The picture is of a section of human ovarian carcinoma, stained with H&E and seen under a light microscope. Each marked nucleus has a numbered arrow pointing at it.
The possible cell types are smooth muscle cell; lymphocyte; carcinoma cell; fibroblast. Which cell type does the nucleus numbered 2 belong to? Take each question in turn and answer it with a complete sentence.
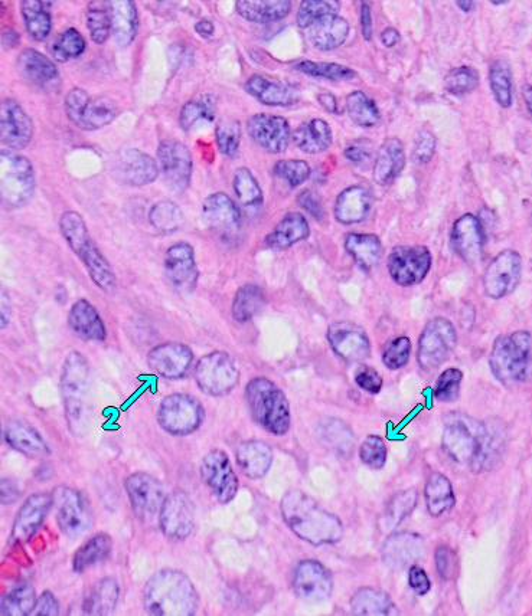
The cell given label 2 is a fibroblast.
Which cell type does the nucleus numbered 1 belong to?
Looking at the numbered marks, cell 1 is a lymphocyte.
